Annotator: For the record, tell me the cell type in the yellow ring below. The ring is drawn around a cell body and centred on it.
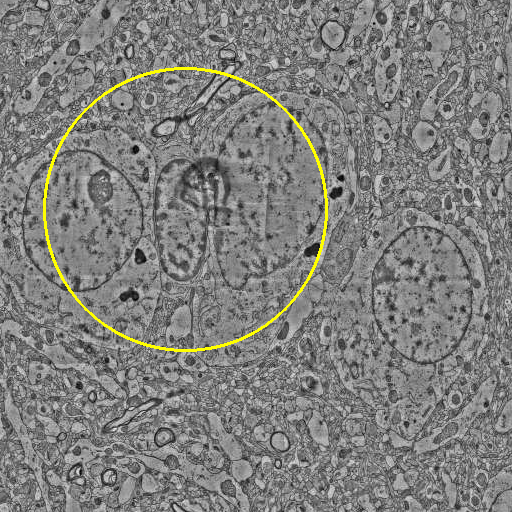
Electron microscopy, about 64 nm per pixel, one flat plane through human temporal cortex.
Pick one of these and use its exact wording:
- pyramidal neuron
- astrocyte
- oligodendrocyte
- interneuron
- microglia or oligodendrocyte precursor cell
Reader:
microglia or oligodendrocyte precursor cell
